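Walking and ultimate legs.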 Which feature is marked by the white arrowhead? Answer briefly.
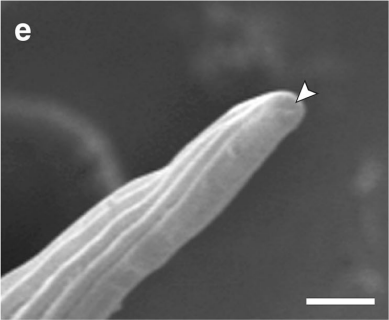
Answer: Small terminal pore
